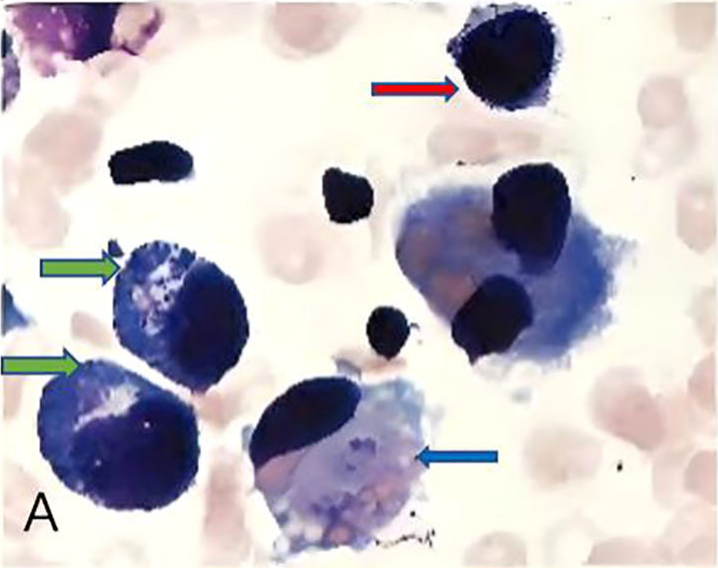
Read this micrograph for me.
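This bone marrow smear shows several hemophagocytes among pale pink erythrocytes. One large cell has abundant pale blue cytoplasm and a dark nucleus pushed to one side, with small pinkish round bodies held inside its cytoplasm. Two smaller round cells at the left have deep blue cytoplasm with pale areas dotted with tiny dark particles beside a large dark nucleus. Scattered small dark nuclei and a further deep blue cell lie between them.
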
